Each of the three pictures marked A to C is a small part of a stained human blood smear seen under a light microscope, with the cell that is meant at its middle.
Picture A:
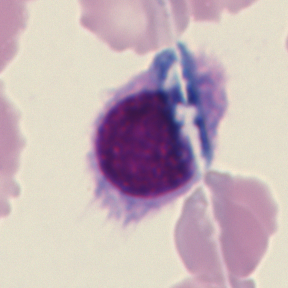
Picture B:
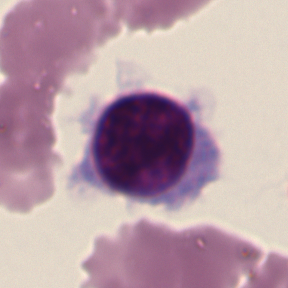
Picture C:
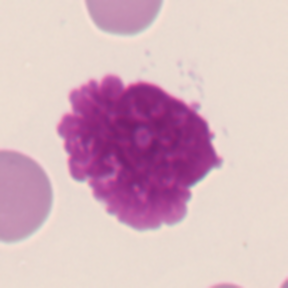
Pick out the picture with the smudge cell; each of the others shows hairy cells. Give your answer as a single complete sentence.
The picture with the smudge cell is C.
